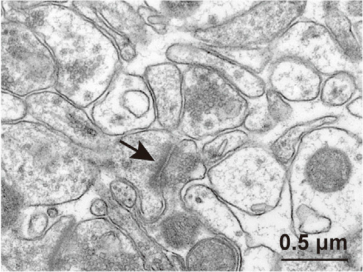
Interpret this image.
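This electron micrograph shows brain neuropil made of tightly packed neuronal processes cut in cross-section, each outlined by a thin dark membrane. An arrow points to a short dark band along the contact between two profiles, a dense membrane specialisation of the kind found at a synapse. Mitochondria with internal cristae sit in several profiles, one large rounded one at the right edge. Some profiles have pale, almost empty-looking cytoplasm, while others are filled with fine granular material and small vesicles. No nuclei or cell bodies appear, only the processes that fill the space between them.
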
